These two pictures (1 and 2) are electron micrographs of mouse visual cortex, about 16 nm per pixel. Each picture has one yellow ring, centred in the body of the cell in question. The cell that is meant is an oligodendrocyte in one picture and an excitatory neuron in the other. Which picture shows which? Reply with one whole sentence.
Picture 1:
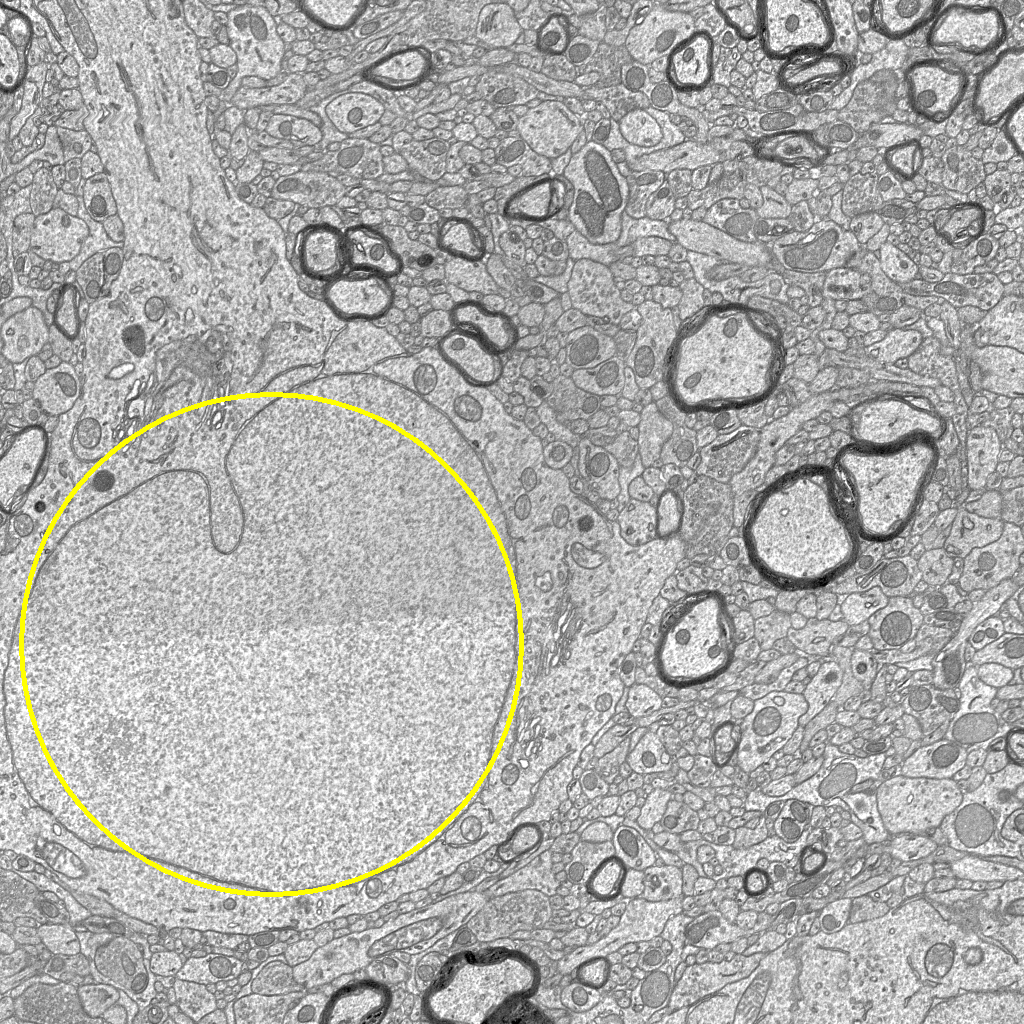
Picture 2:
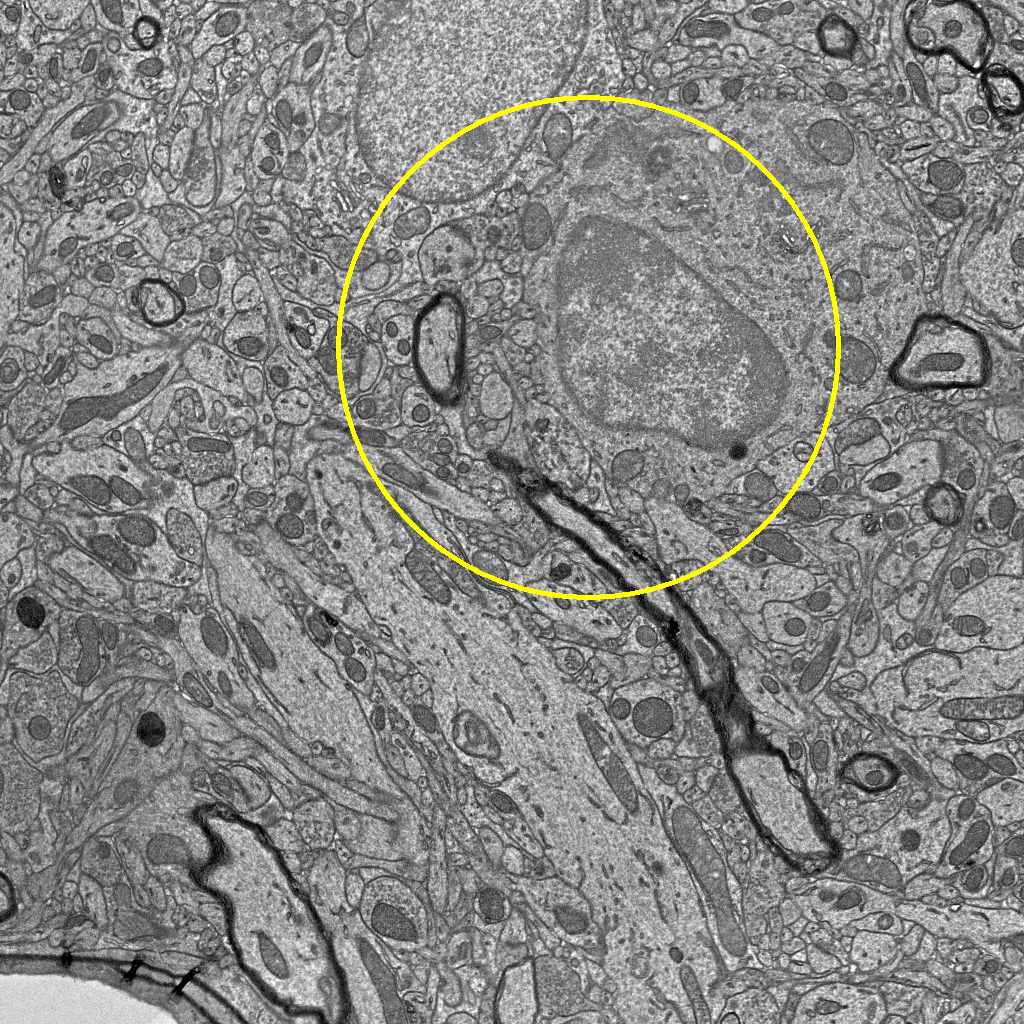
It is picture 1 that shows an excitatory neuron, and picture 2 that shows an oligodendrocyte.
